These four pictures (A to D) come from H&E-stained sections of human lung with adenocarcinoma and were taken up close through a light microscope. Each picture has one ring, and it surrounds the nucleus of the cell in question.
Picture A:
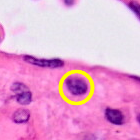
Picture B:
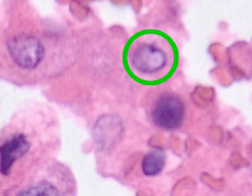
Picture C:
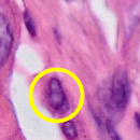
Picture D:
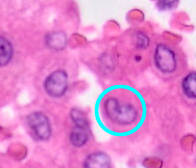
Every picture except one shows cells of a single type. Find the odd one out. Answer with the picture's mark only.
A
